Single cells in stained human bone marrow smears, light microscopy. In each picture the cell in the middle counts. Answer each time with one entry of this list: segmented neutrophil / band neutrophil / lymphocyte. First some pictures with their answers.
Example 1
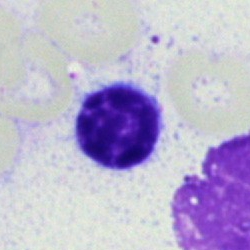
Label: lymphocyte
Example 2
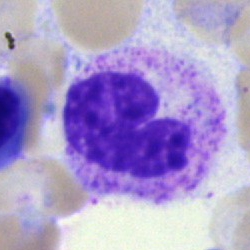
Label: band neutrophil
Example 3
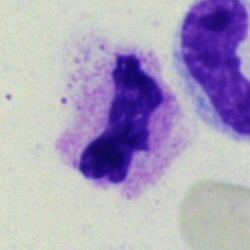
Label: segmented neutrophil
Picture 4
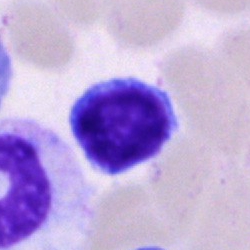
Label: lymphocyte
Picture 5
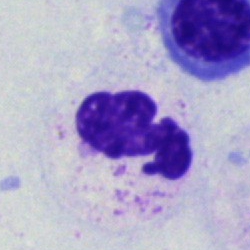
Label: segmented neutrophil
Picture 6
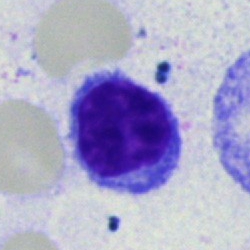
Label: lymphocyte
